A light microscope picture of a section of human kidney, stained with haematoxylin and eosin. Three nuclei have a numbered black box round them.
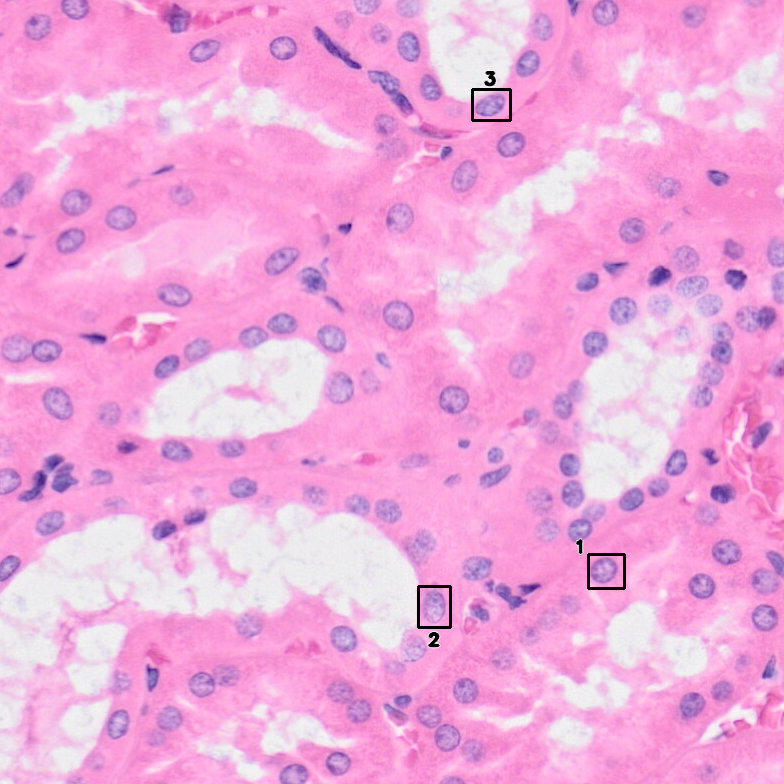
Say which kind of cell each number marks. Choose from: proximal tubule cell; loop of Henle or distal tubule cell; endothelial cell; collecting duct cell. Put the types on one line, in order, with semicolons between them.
proximal tubule cell; loop of Henle or distal tubule cell; loop of Henle or distal tubule cell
